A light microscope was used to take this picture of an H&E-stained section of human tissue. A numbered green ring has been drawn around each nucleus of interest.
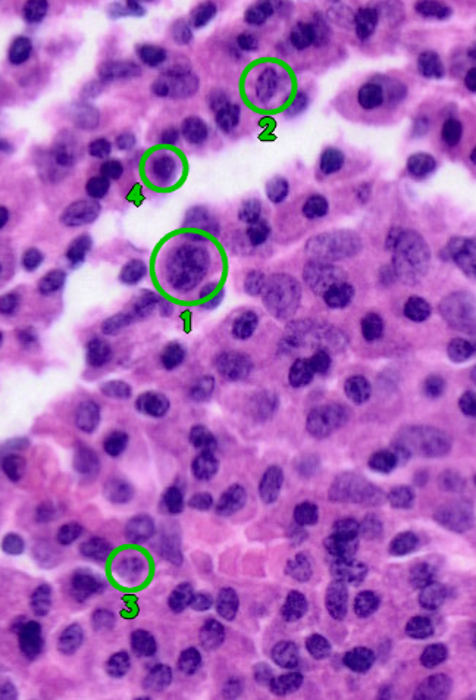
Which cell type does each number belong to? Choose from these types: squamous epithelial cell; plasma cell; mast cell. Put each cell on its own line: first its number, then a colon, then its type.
1: squamous epithelial cell
2: plasma cell
3: plasma cell
4: plasma cell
